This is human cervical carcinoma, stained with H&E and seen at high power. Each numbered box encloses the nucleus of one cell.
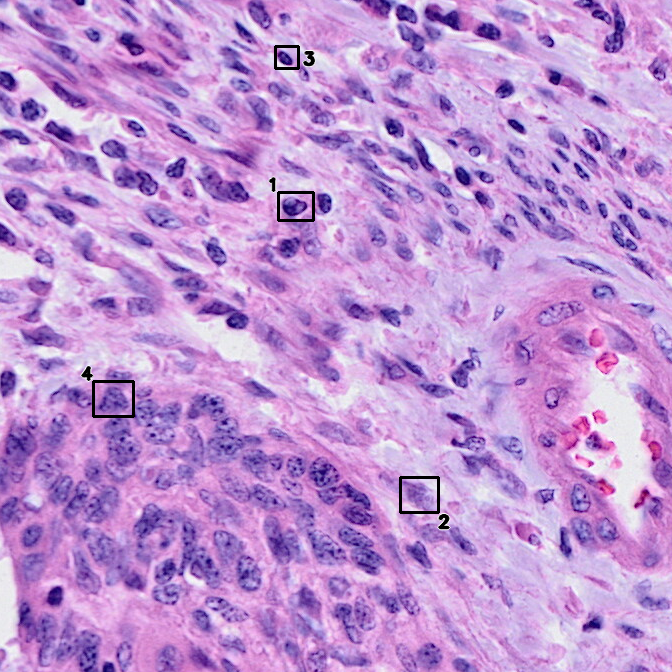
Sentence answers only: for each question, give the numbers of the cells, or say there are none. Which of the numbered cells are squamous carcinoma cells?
Cell 4 is a squamous carcinoma cell, while all remaining marked cells are of other types.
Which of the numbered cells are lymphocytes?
The cells numbered 1 and 3 are of the kind known as lymphocytes.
